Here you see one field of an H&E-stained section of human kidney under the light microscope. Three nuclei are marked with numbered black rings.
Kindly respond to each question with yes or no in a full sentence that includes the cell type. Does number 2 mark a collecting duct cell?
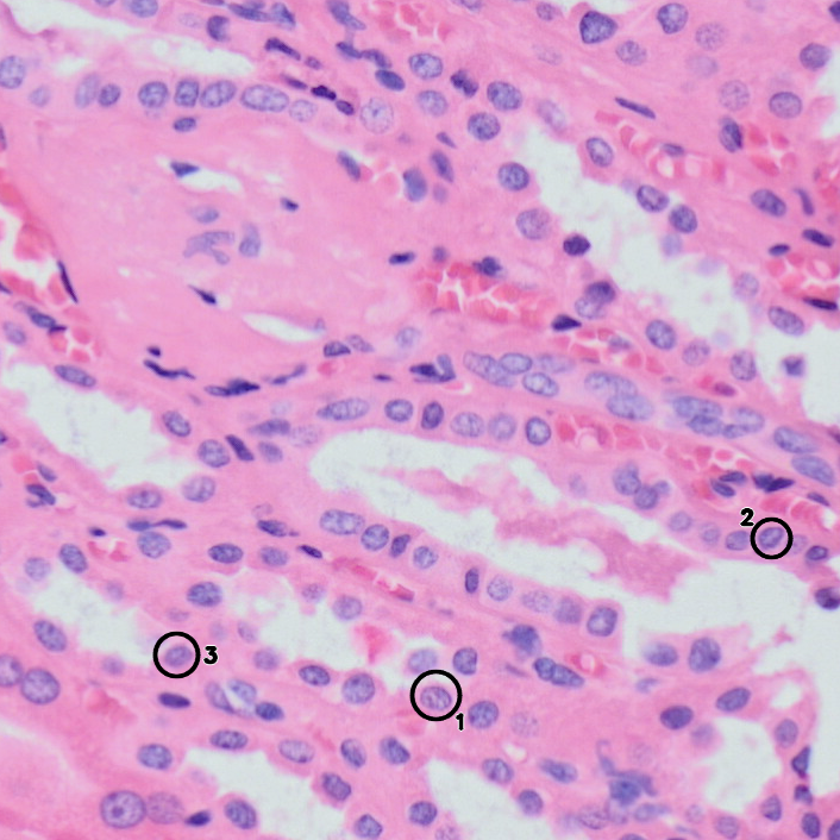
Yes, the cell with the mark numbered 2 is a collecting duct cell.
